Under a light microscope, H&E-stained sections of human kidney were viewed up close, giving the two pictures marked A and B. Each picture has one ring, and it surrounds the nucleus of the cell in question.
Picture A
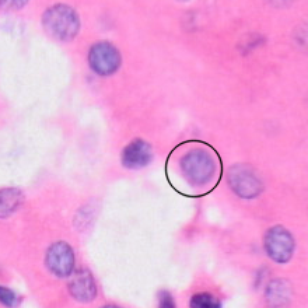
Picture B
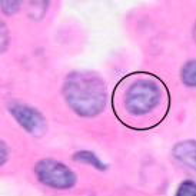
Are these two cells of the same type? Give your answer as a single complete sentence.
Yes, they are the same type: both are “loop of Henle or distal tubule cells”.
